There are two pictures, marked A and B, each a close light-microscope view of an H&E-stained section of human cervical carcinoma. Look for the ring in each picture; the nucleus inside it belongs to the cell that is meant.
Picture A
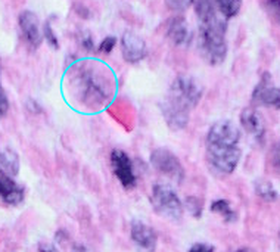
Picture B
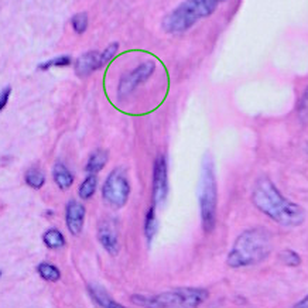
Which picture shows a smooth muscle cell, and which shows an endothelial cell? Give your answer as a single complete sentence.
It is picture A that shows an endothelial cell, and picture B that shows a smooth muscle cell.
